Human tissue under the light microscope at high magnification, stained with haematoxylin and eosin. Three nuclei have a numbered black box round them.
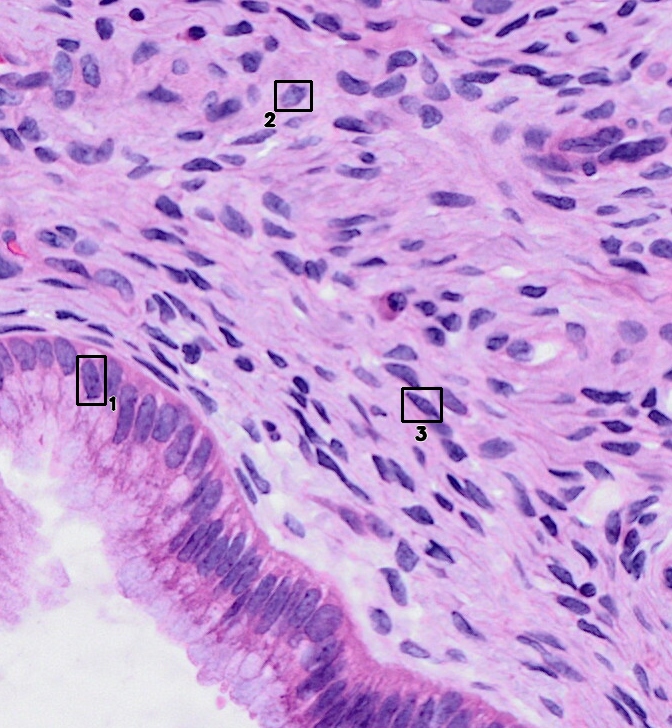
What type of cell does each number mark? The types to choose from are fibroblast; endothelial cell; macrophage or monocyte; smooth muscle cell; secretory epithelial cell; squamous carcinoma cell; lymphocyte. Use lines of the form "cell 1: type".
cell 1: secretory epithelial cell
cell 2: fibroblast
cell 3: fibroblast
